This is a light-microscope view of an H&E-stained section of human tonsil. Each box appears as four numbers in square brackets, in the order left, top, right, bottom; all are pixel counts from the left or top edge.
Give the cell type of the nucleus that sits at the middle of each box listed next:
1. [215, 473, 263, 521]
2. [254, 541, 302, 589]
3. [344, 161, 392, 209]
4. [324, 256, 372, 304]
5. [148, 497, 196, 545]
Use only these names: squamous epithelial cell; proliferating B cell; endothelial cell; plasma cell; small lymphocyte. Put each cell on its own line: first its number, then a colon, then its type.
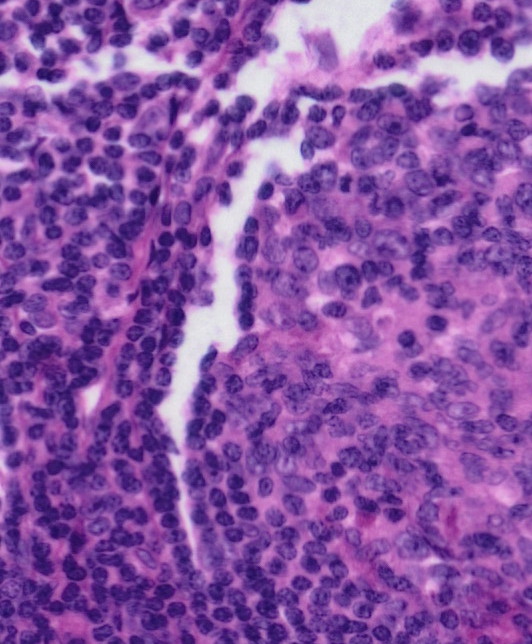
1: small lymphocyte
2: small lymphocyte
3: proliferating B cell
4: proliferating B cell
5: small lymphocyte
